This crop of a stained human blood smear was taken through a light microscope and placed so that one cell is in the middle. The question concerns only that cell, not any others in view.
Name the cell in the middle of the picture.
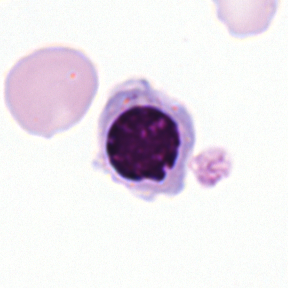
normoblast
